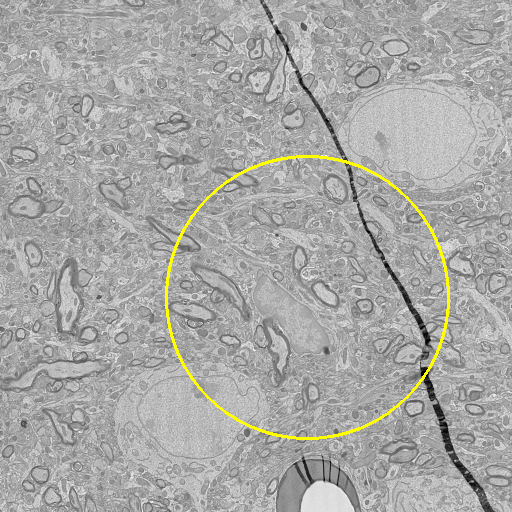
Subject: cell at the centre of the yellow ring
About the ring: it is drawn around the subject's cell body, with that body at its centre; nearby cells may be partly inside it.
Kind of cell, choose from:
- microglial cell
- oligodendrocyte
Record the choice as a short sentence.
The subject cell is a microglial cell.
